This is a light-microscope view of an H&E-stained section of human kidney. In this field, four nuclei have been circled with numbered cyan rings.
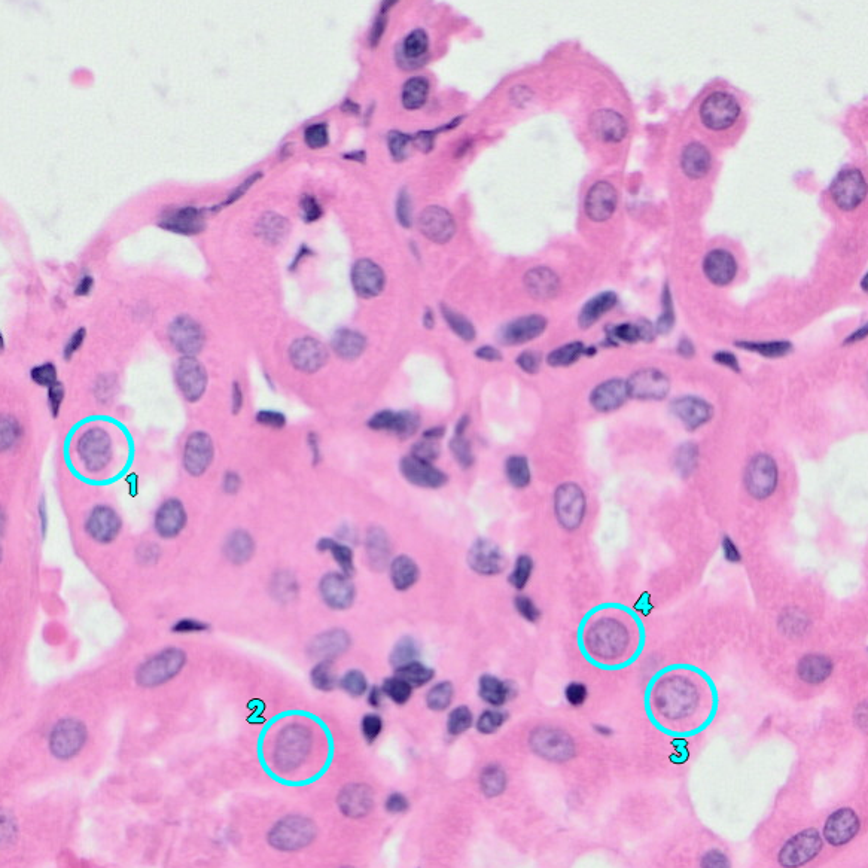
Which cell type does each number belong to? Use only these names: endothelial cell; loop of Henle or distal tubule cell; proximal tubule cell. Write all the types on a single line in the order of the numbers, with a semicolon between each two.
loop of Henle or distal tubule cell; proximal tubule cell; proximal tubule cell; proximal tubule cell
